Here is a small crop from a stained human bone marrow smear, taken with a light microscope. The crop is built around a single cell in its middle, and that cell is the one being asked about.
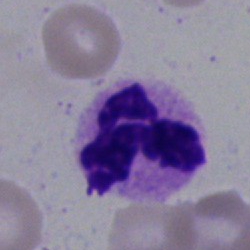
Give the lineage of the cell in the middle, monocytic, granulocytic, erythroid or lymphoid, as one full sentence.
It is the granulocytic lineage to which the central cell belongs.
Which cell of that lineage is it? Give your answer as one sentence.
The cell at the centre of the field is a segmented neutrophil.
